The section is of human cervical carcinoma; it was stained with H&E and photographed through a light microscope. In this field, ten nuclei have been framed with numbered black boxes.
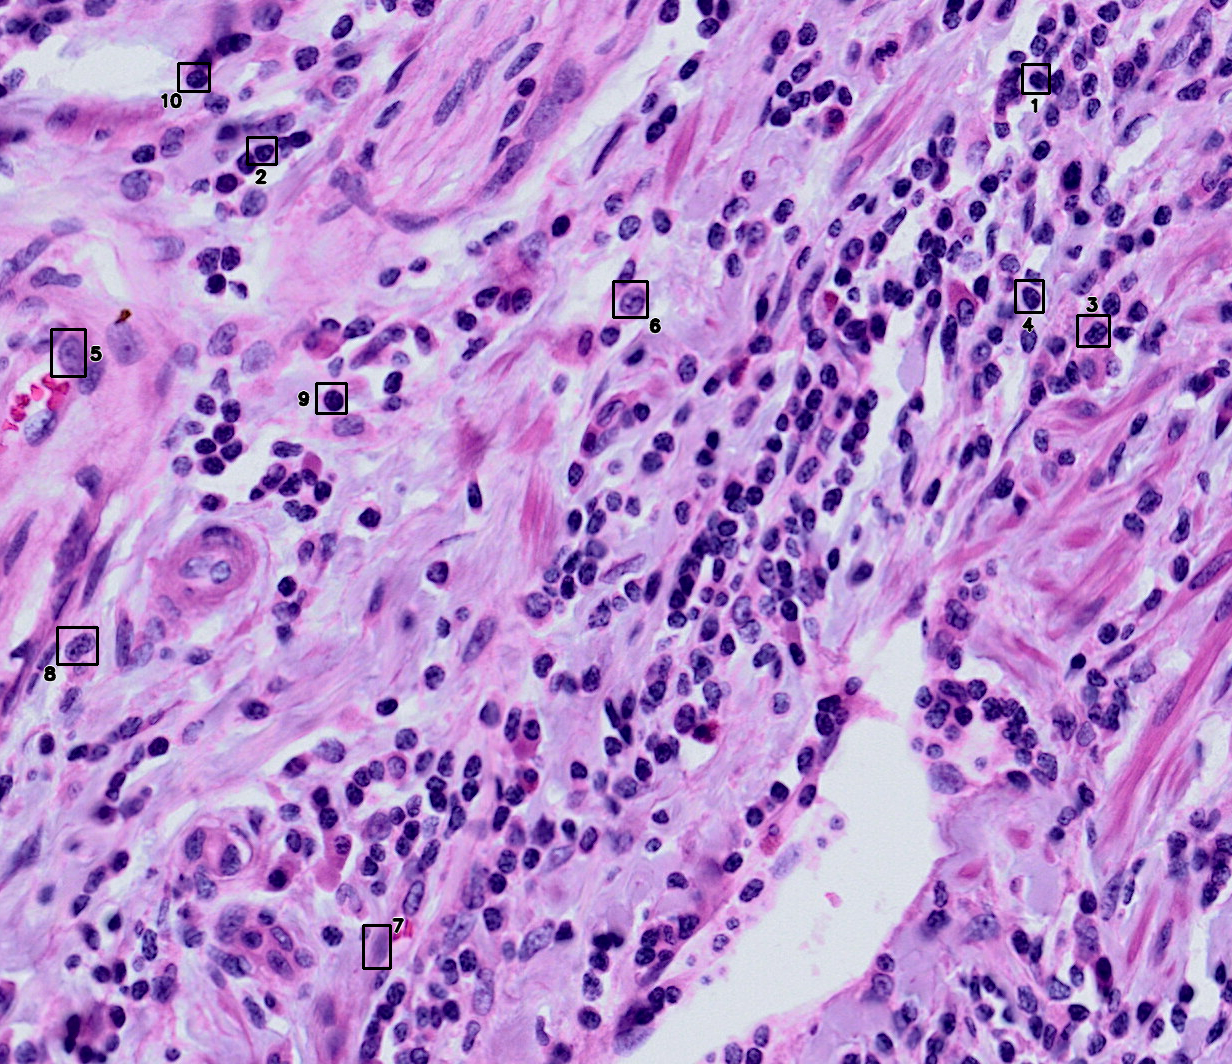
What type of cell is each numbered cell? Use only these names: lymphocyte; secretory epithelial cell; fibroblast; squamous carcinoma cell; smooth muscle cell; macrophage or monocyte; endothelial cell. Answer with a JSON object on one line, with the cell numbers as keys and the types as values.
{"1": "lymphocyte", "2": "lymphocyte", "3": "lymphocyte", "4": "lymphocyte", "5": "endothelial cell", "6": "macrophage or monocyte", "7": "endothelial cell", "8": "macrophage or monocyte", "9": "lymphocyte", "10": "lymphocyte"}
